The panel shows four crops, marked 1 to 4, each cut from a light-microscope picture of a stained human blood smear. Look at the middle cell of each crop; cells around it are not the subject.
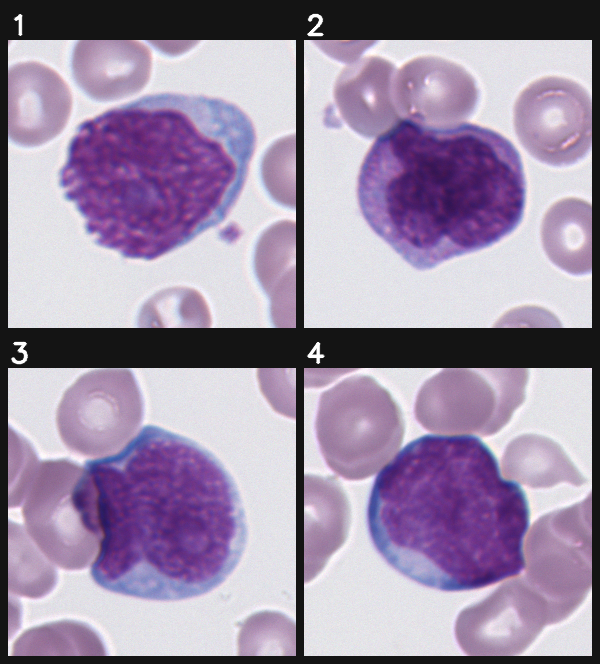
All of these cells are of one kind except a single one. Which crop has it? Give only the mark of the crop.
2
